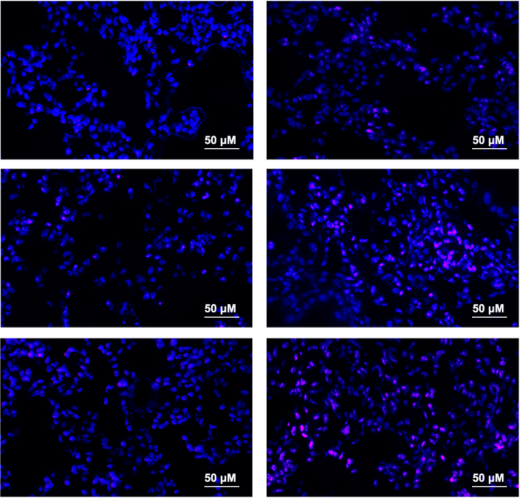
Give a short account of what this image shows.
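Six fluorescence fields of lung tissue show many small round to oval blue nuclei arranged along thin septa around dark airspaces. A subset of the nuclei appears pink-red. These pink-red nuclei are few in the left-hand fields and more numerous and clustered in the right-hand fields, especially the lower ones.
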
